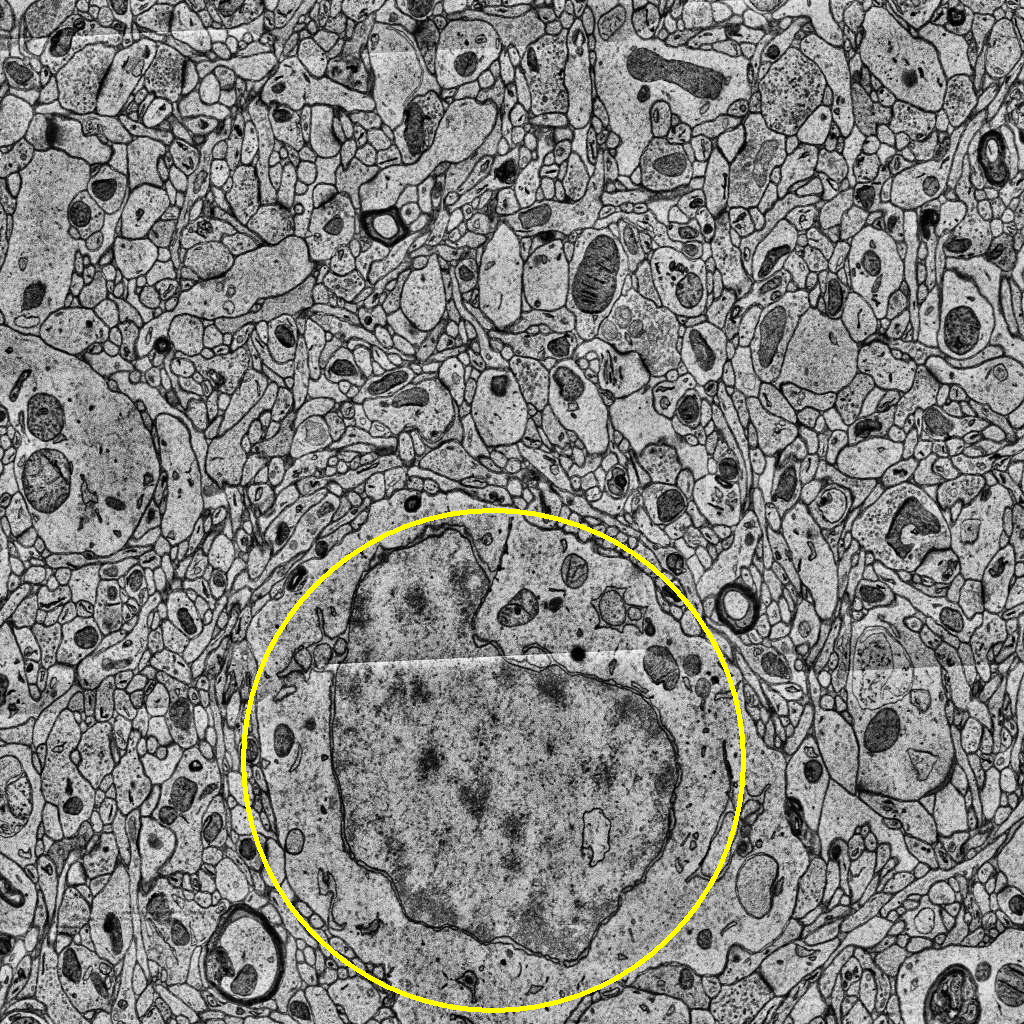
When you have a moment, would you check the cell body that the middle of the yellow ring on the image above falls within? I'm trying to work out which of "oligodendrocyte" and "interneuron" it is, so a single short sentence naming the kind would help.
This cell body belongs to an interneuron.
